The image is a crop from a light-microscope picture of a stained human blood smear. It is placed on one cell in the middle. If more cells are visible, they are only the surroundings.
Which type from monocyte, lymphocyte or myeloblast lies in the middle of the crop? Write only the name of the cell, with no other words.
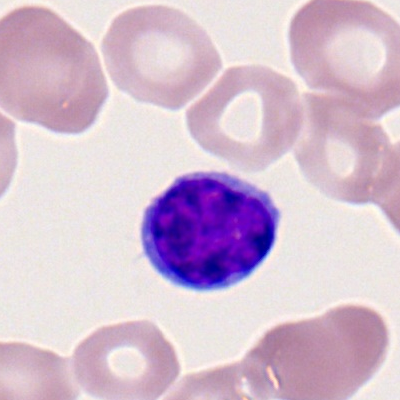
lymphocyte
